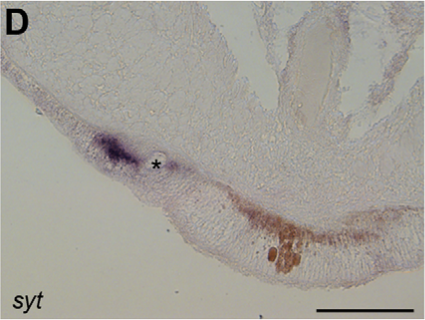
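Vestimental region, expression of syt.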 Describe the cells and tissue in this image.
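This brightfield section shows the ventral body wall with the ventral nerve cord. A dark purple patch of stain marks a cluster of cells lying beside a small round empty space. The rest of the body wall is a pale, columnar-looking layer, with some brown granules lower in the section.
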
